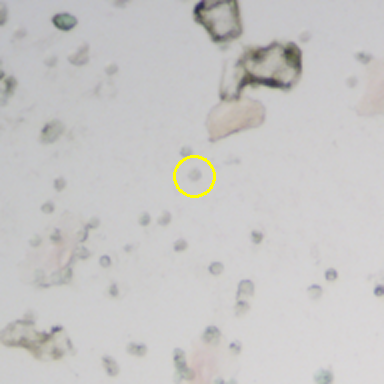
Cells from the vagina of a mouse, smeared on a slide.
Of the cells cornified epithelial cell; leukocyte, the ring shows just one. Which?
The ring shows a leukocyte.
